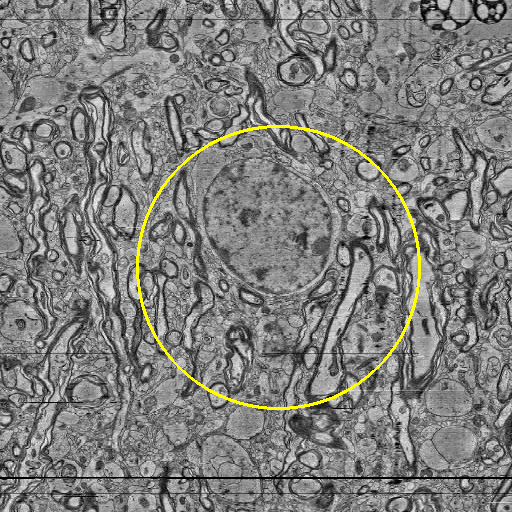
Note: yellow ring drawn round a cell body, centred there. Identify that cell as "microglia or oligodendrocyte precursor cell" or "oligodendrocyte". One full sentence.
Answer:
The cell in the middle of the ring is a microglial cell or oligodendrocyte precursor cell.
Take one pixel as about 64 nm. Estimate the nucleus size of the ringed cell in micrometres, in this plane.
About 9 micrometres across in this plane, for the nucleus.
